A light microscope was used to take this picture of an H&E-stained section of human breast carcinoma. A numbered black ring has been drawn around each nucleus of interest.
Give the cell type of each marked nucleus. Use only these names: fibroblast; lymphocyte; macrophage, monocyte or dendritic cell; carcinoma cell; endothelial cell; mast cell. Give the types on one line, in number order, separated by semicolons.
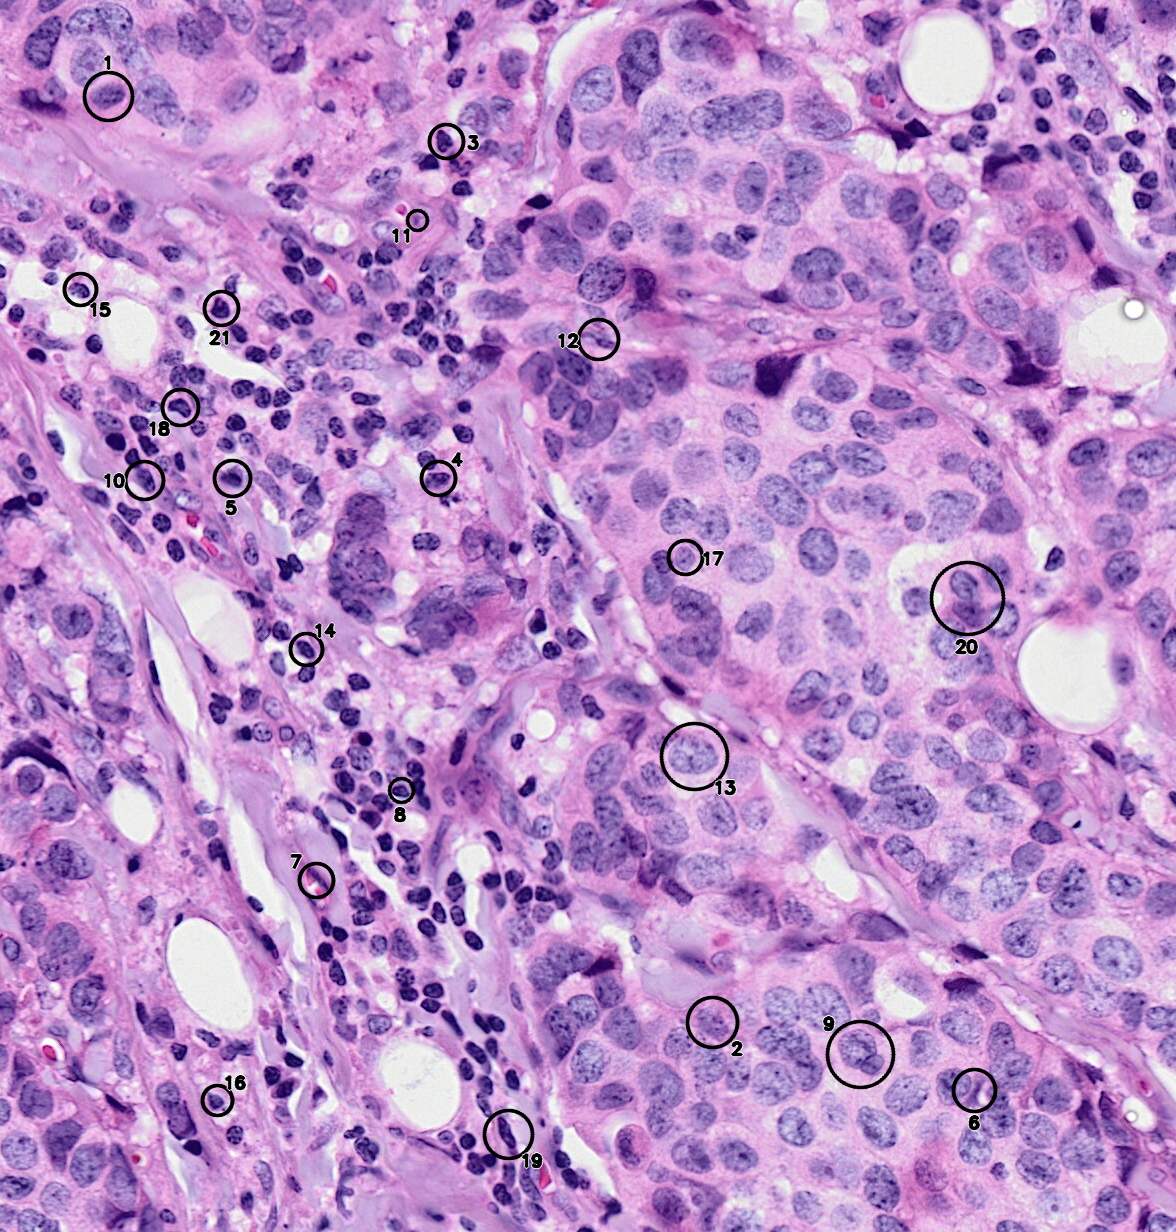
carcinoma cell; carcinoma cell; lymphocyte; lymphocyte; lymphocyte; carcinoma cell; endothelial cell; lymphocyte; carcinoma cell; lymphocyte; endothelial cell; carcinoma cell; carcinoma cell; lymphocyte; lymphocyte; lymphocyte; carcinoma cell; lymphocyte; lymphocyte; carcinoma cell; lymphocyte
